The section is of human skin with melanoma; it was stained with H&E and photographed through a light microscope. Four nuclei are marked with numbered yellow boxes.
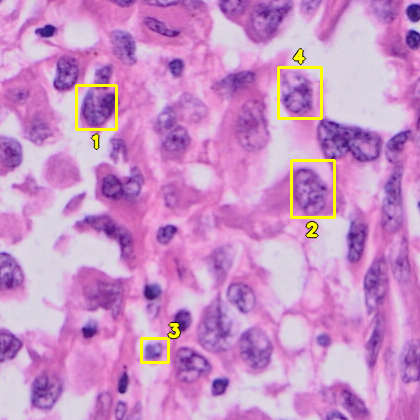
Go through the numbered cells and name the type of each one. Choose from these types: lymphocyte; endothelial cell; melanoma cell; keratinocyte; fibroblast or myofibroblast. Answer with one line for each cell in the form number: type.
1: melanoma cell
2: melanoma cell
3: lymphocyte
4: melanoma cell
